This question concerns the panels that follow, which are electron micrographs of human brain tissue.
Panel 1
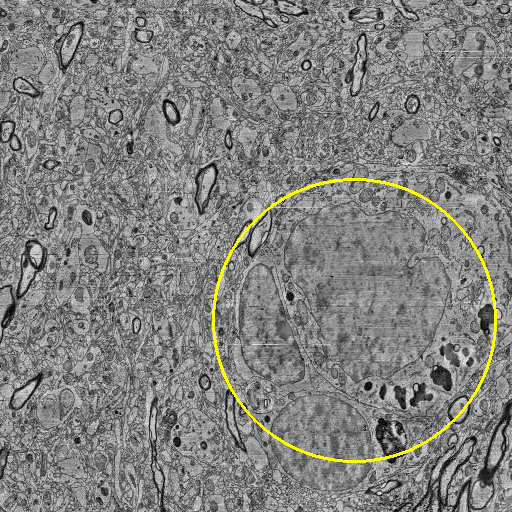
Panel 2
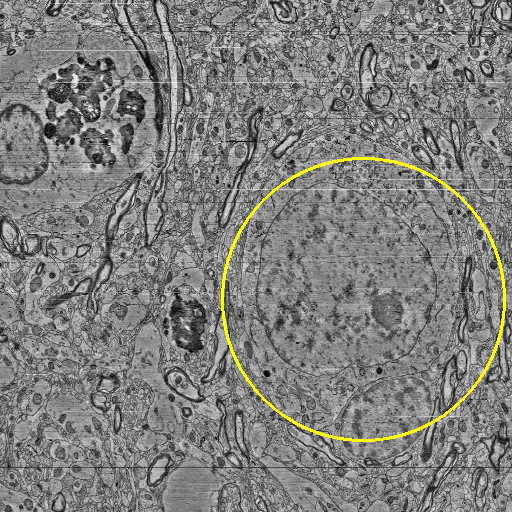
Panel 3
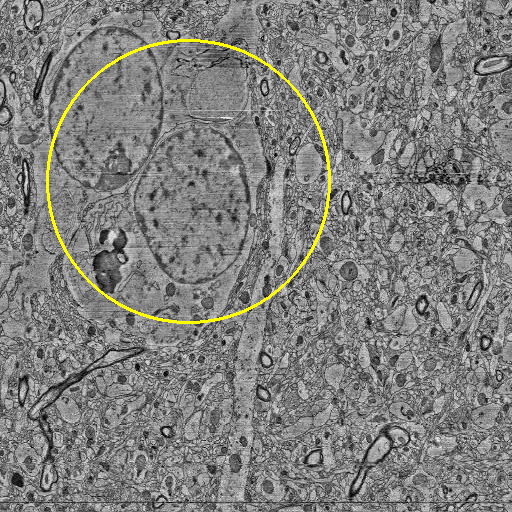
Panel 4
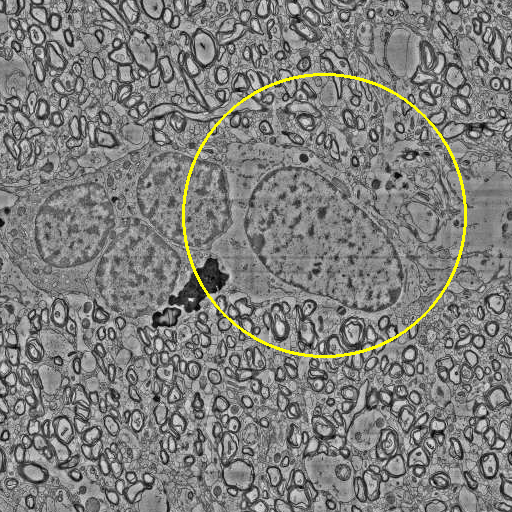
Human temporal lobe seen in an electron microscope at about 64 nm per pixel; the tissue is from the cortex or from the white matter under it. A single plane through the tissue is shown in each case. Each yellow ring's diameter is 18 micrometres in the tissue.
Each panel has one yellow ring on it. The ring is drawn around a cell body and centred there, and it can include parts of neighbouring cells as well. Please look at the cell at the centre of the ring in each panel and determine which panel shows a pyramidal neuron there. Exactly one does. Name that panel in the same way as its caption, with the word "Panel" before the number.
Panel 2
